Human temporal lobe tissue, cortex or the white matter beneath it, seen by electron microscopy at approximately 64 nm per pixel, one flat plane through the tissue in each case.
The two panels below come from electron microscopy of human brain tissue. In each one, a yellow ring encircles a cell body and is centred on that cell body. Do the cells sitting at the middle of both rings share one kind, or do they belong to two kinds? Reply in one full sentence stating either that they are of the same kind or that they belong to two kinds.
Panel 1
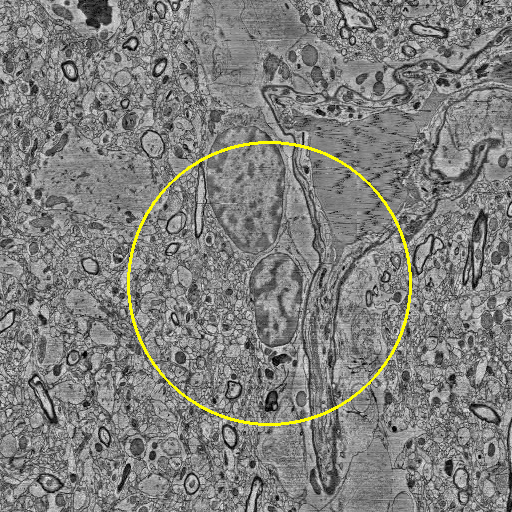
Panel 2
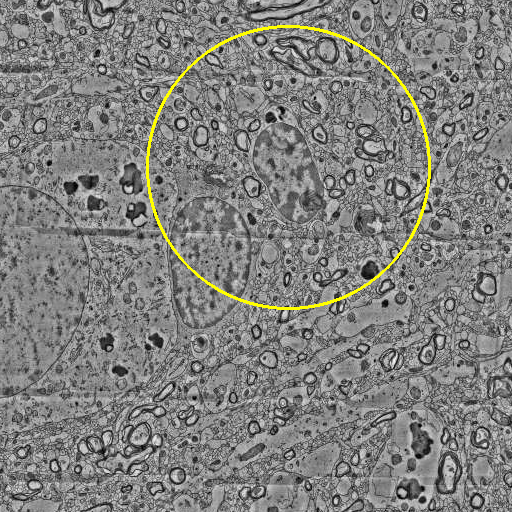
The cells at the centres of the two rings are of the same kind.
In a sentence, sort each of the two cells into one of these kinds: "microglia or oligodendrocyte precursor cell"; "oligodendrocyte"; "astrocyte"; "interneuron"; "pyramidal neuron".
The first and the second cell are each a microglial cell or oligodendrocyte precursor cell.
